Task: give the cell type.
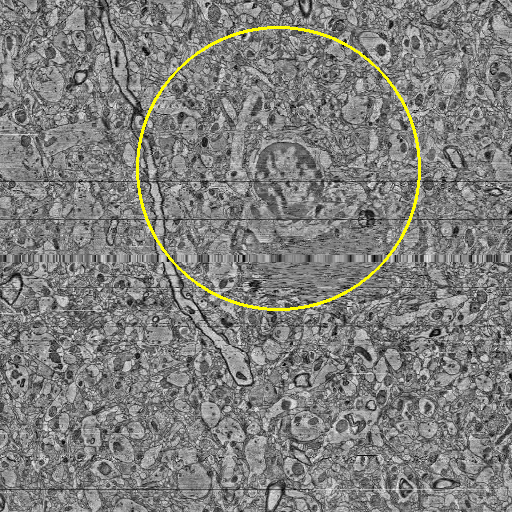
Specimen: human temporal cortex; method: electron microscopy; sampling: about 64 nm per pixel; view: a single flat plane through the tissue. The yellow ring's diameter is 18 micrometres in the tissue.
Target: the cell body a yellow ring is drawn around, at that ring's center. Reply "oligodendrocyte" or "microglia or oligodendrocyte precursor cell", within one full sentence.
In this picture, the cell whose body lies at the ring's center is a microglial cell or oligodendrocyte precursor cell.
